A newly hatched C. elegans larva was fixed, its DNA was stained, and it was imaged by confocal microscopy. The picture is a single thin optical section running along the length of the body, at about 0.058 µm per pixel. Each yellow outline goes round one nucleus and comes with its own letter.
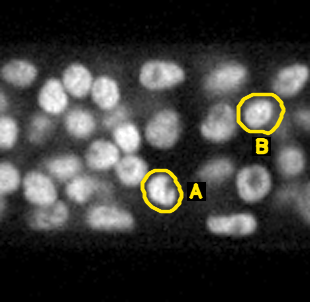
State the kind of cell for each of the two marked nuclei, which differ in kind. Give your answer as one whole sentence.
One is from a neuron, namely A, and the other, B, is from a pharyngeal gland cell.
